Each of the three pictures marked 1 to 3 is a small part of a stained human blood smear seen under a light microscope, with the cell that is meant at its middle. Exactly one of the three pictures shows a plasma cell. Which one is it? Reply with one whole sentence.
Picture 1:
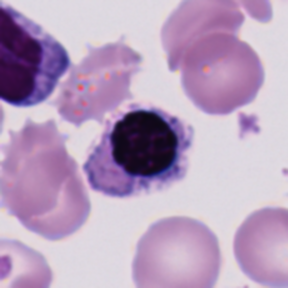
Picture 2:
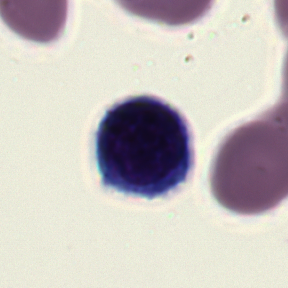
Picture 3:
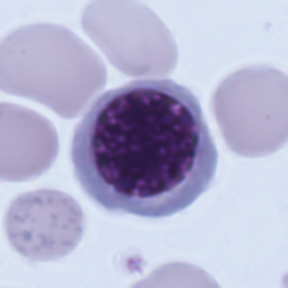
Picture 2 shows the plasma cell.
